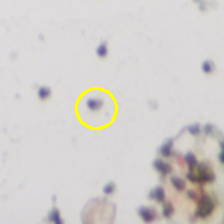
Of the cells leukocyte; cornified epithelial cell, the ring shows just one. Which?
The ring shows a leukocyte.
